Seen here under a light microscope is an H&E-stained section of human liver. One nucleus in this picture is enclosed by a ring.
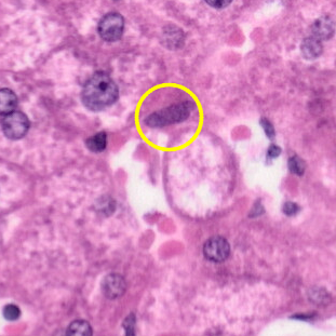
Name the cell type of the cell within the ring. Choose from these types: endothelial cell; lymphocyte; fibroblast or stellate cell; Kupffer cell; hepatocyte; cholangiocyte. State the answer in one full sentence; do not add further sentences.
In this tissue section, the cell within the ring is to be classed as a Kupffer cell.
